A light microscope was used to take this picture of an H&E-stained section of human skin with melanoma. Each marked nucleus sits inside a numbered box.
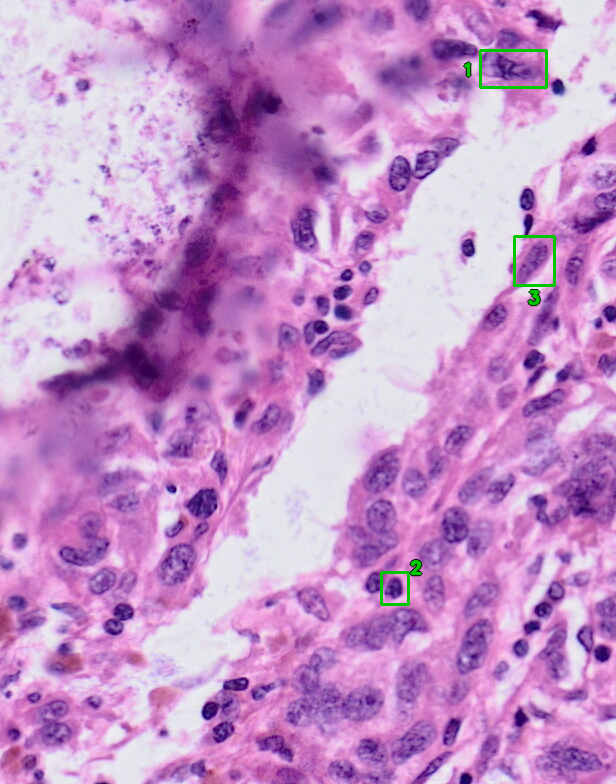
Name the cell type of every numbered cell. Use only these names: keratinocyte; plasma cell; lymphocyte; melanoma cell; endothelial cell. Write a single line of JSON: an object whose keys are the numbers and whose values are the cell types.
{"1": "melanoma cell", "2": "lymphocyte", "3": "melanoma cell"}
